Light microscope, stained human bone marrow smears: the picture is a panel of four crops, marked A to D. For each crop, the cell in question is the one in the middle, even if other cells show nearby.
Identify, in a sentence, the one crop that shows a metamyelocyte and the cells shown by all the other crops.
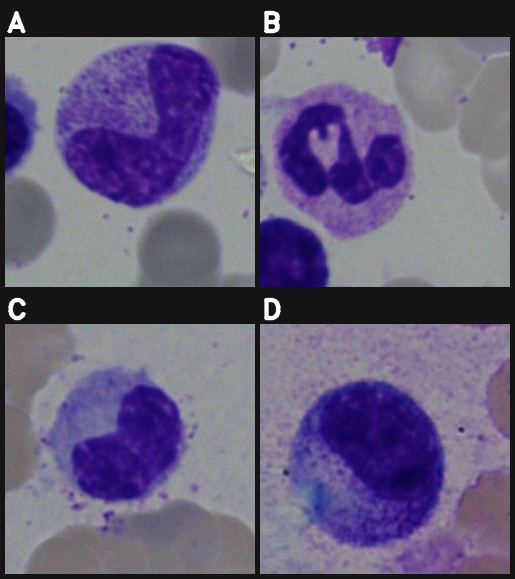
What crop C shows is a metamyelocyte, while crop A is a band neutrophil, crop B is a segmented neutrophil and crop D is a myelocyte.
